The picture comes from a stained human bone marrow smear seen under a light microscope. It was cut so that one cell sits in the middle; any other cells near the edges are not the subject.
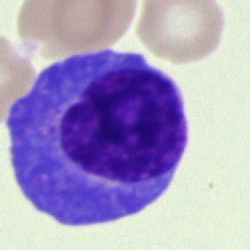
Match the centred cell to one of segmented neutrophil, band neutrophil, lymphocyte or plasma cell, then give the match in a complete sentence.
In the middle of this smear crop is a plasma cell.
